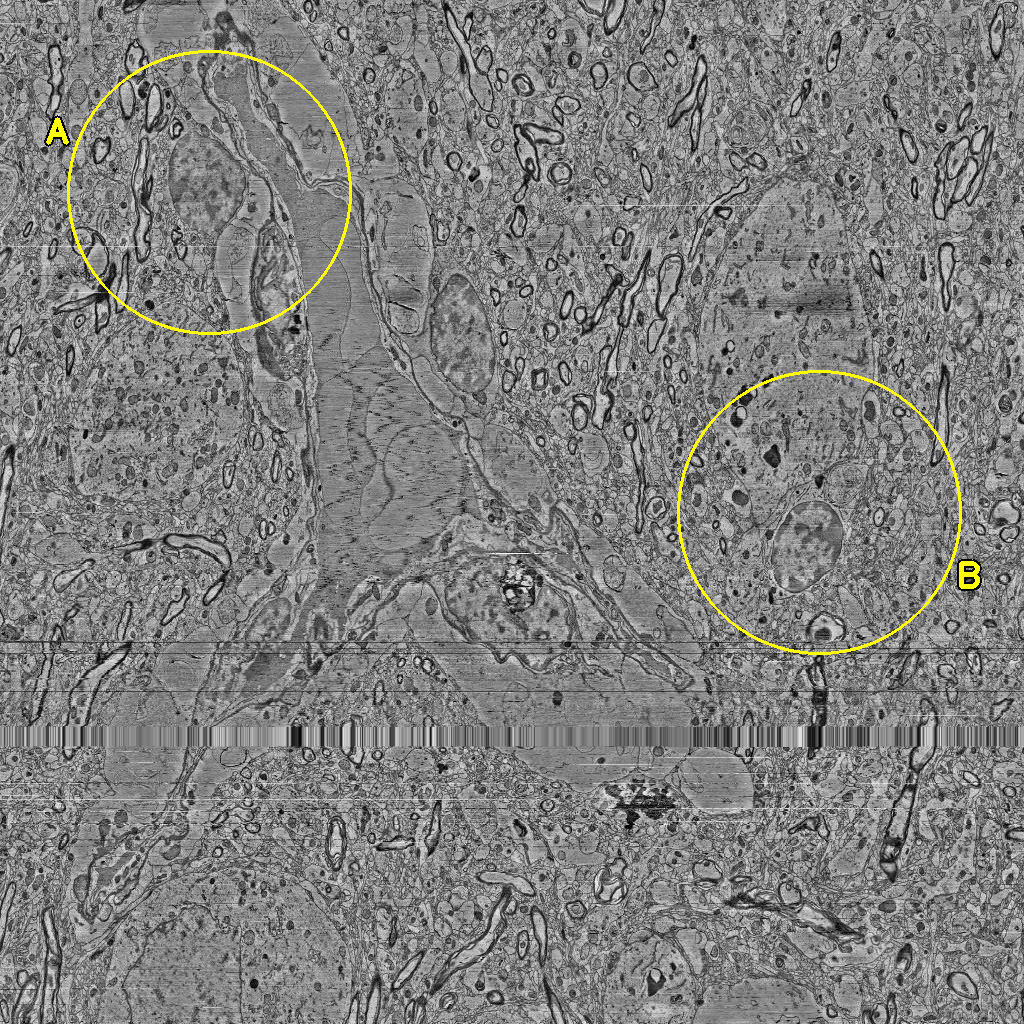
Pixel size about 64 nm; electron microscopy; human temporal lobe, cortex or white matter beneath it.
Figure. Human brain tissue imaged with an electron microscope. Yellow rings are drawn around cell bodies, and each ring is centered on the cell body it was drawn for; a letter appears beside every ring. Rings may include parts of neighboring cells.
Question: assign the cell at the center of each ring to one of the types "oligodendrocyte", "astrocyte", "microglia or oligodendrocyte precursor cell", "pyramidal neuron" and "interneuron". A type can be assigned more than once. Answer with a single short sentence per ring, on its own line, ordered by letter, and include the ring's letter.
Centered in ring A is an oligodendrocyte.
Centered in ring B is a microglial cell or oligodendrocyte precursor cell.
